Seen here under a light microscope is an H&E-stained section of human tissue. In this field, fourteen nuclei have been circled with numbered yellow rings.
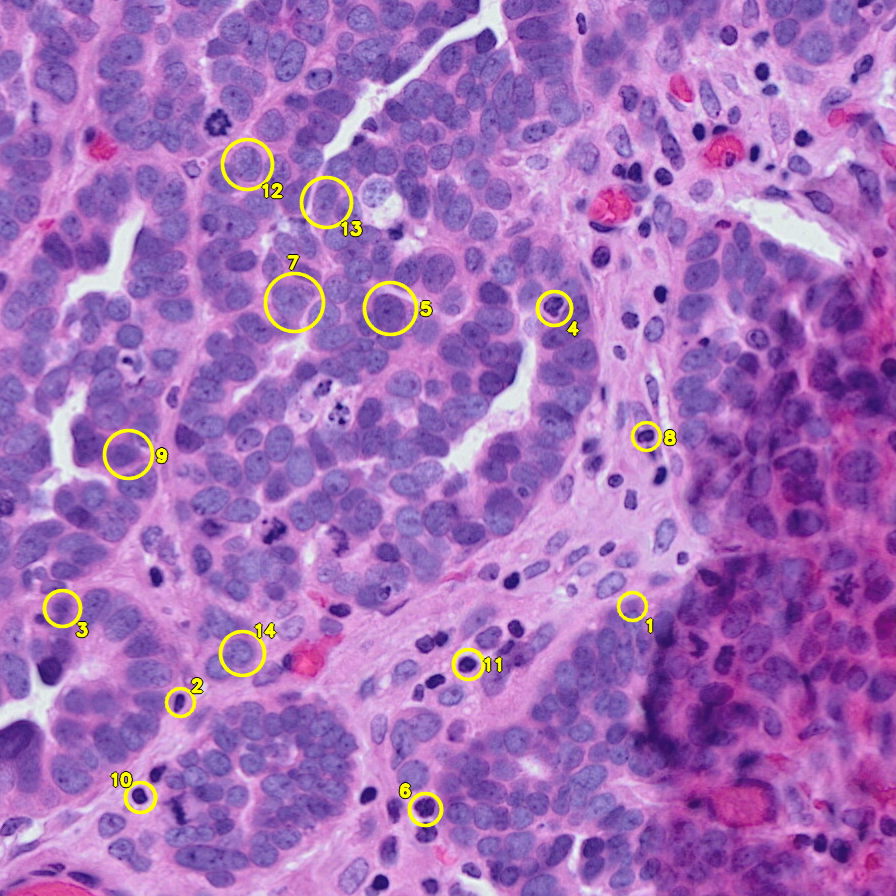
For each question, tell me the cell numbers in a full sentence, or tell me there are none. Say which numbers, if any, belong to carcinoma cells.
The numbers 1, 3, 5, 7, 9, 12, 13 and 14 refer to cells that are carcinoma cells.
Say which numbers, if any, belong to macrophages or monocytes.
No macrophages or monocytes are present among the numbered cells.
